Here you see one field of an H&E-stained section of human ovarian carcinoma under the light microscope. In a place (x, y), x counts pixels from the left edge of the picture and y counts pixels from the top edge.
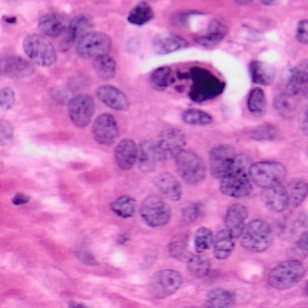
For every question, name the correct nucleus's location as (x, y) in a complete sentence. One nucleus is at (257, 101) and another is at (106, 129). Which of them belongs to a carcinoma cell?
The nucleus belonging to a carcinoma cell is the one at (106, 129).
